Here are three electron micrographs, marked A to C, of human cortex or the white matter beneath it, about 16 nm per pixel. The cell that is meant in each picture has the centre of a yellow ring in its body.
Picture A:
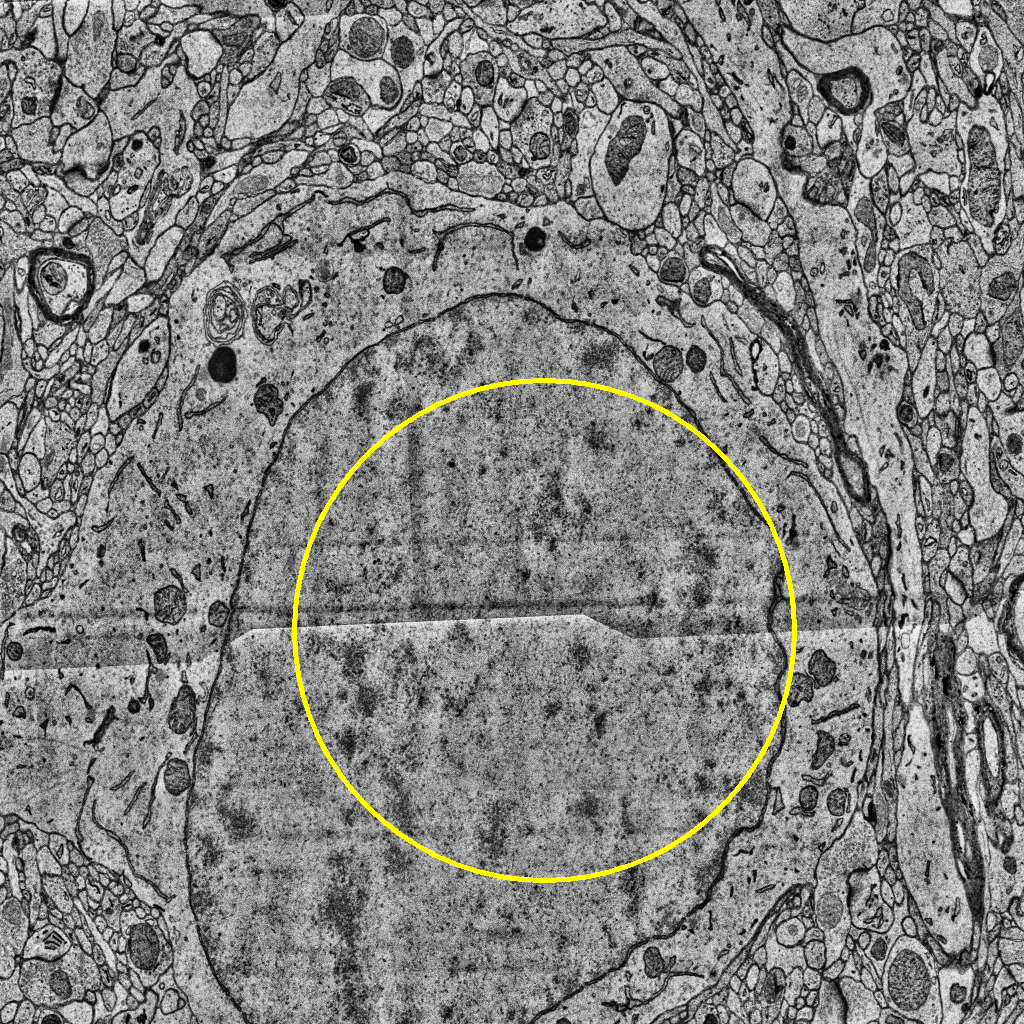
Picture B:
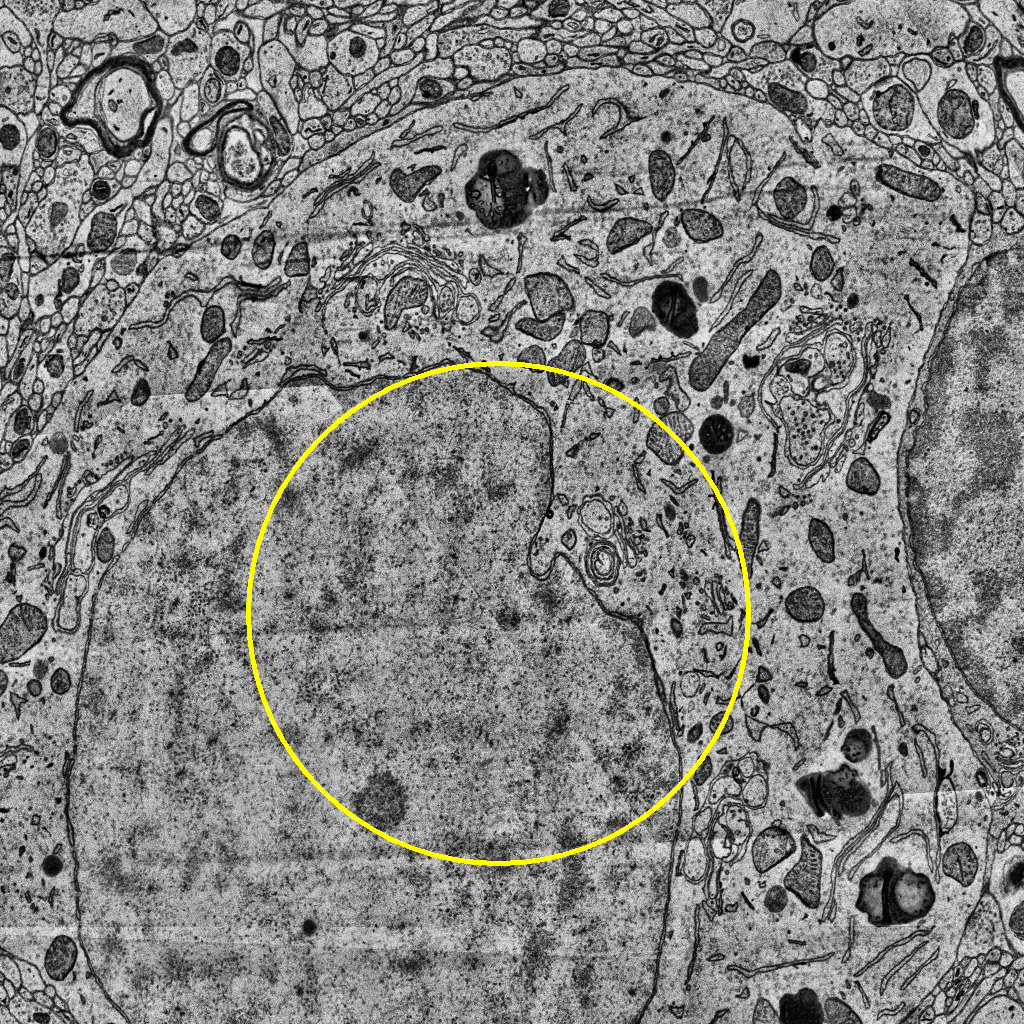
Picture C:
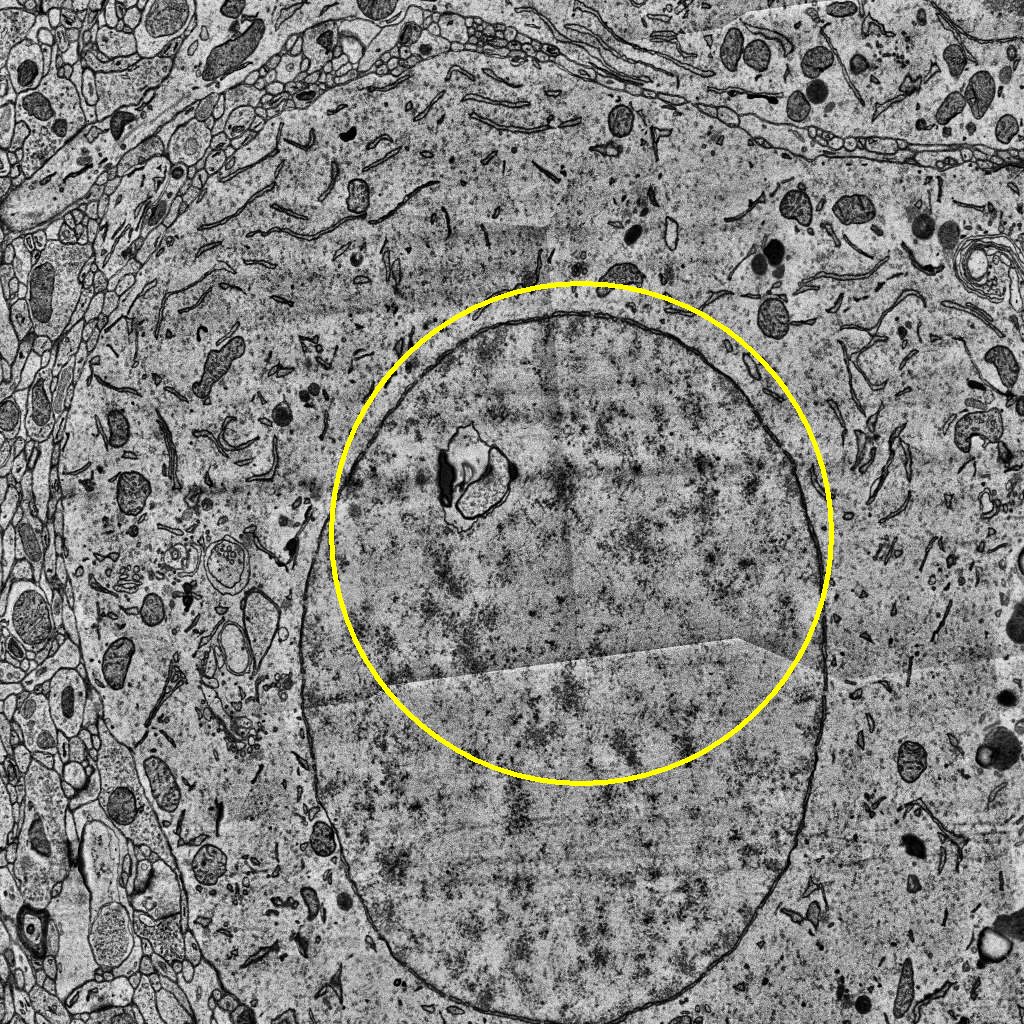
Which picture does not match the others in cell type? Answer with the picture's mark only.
B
